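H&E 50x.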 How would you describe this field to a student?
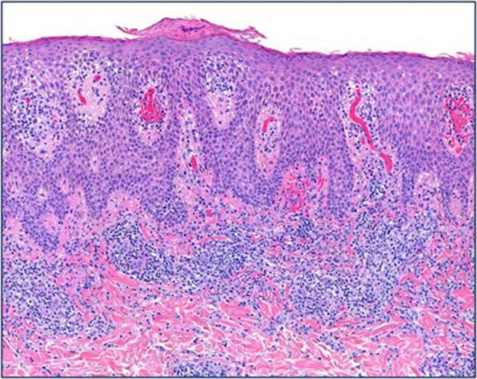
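This is skin in which a dense band of small lymphocytes with dark round nuclei fills the superficial dermis just beneath the epidermis. Some of these cells also lie within the thickened epidermis, whose rete ridges are elongated, with dilated vessels in the dermal papillae between them. The surface carries a layer of pink keratin that still holds nuclei. The deeper dermis below the band shows pink collagen bundles with fewer cells.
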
